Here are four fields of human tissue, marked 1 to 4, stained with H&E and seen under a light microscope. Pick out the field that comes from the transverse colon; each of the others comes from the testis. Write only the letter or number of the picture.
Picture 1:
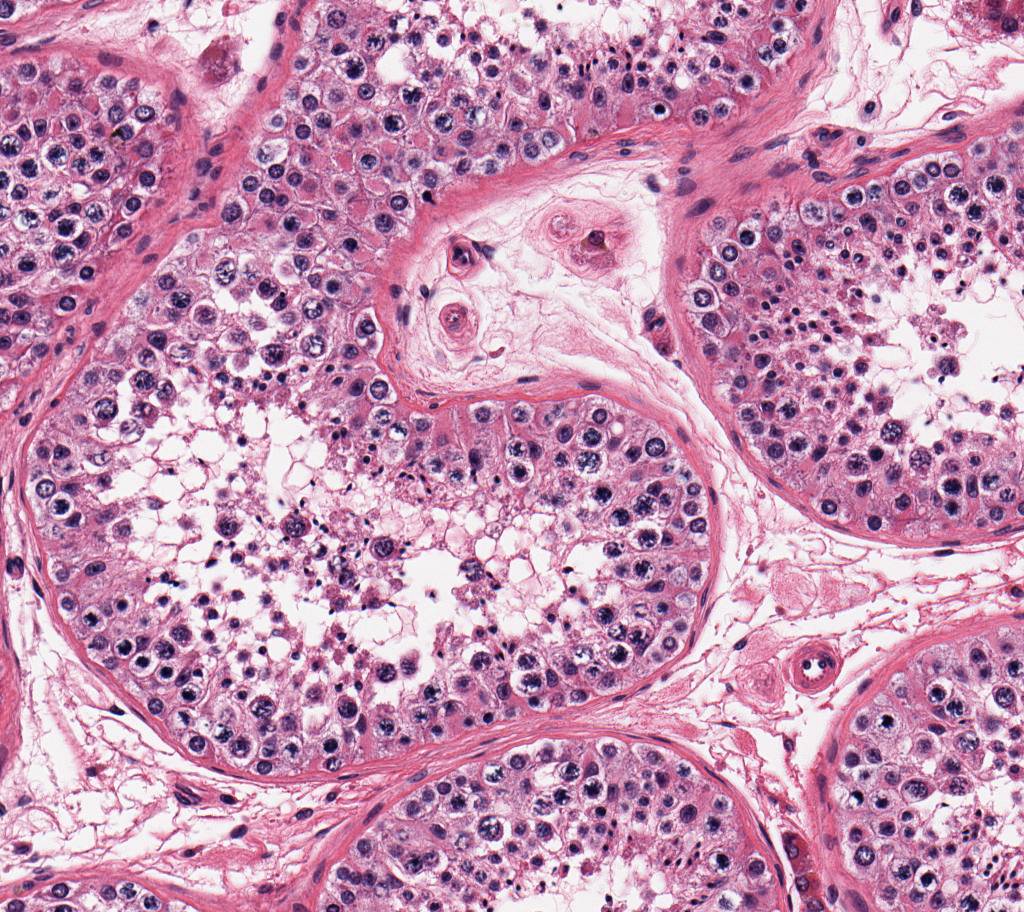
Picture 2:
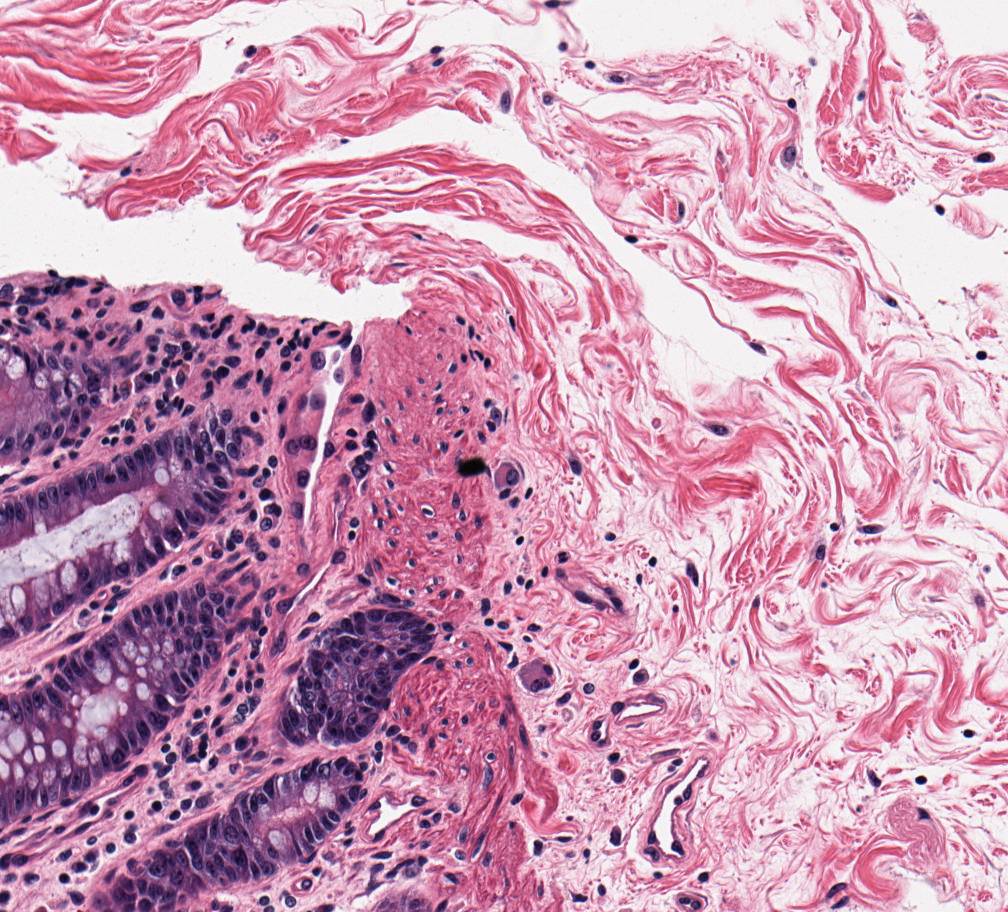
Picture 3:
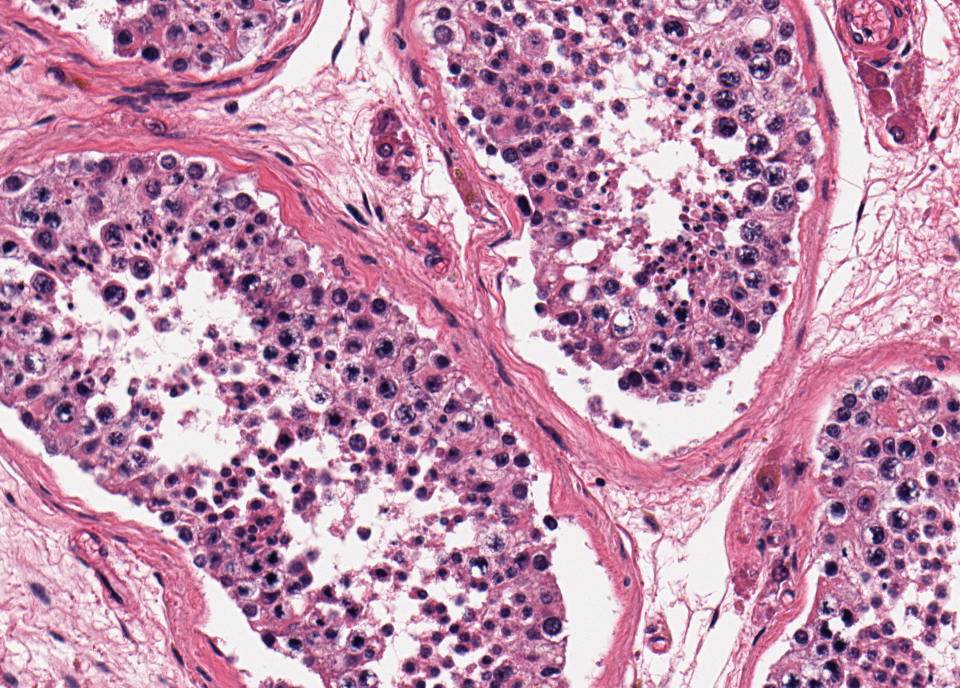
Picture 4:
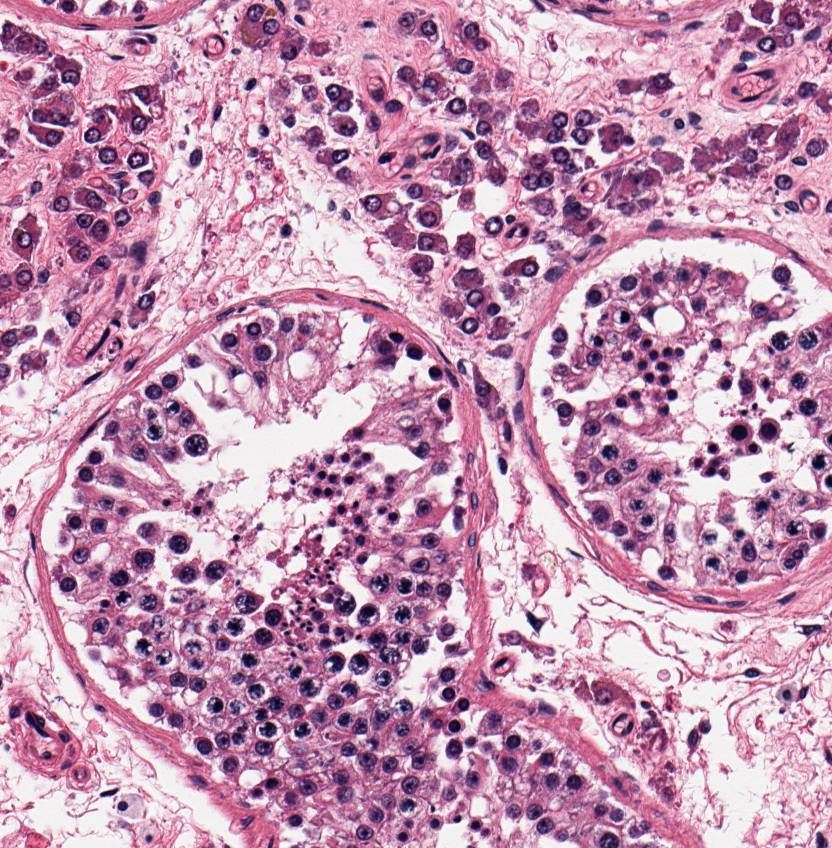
2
